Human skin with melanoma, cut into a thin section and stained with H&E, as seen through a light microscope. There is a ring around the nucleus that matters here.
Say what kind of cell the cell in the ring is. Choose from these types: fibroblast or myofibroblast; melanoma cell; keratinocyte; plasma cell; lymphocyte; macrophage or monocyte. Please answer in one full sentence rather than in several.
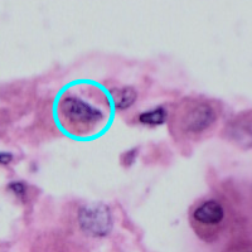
Within the stained tissue, the cell in the ring is a macrophage or monocyte.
